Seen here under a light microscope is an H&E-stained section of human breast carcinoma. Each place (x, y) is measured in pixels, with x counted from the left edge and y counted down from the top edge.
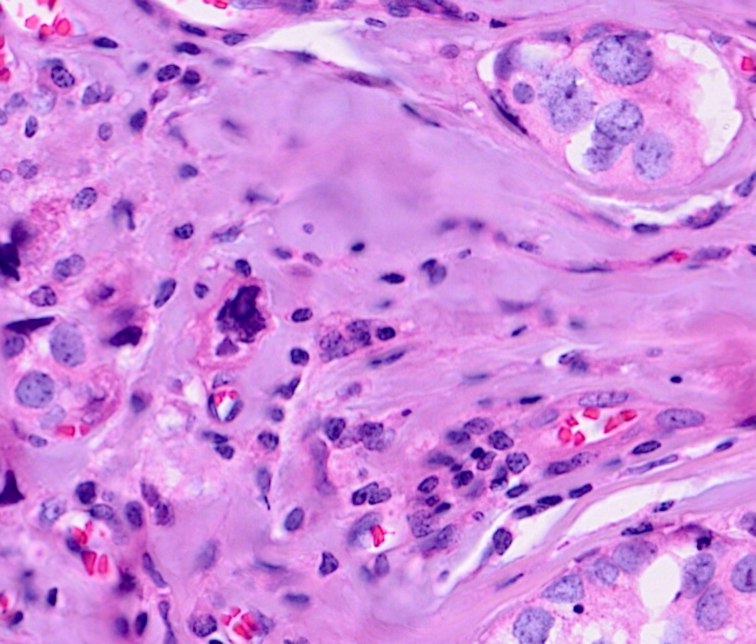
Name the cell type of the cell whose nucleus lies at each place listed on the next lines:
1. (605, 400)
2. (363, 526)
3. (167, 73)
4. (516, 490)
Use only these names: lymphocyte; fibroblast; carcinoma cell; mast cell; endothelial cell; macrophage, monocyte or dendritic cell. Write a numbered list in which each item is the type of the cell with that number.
1. endothelial cell
2. endothelial cell
3. lymphocyte
4. lymphocyte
